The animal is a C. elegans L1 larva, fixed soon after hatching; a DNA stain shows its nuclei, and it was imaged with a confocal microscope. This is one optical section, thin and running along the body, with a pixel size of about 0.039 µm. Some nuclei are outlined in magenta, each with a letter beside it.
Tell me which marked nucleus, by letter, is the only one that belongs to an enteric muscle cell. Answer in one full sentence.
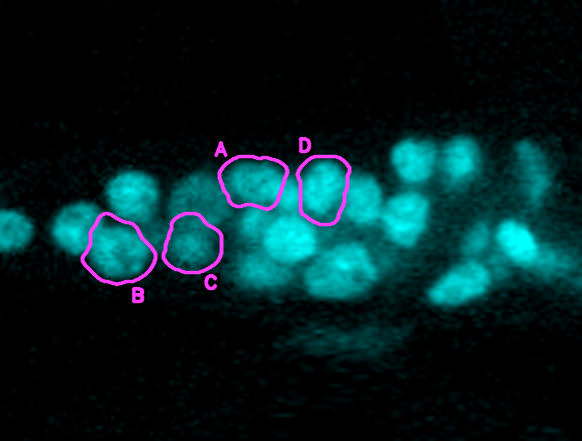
D is the one that belongs to an enteric muscle cell.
